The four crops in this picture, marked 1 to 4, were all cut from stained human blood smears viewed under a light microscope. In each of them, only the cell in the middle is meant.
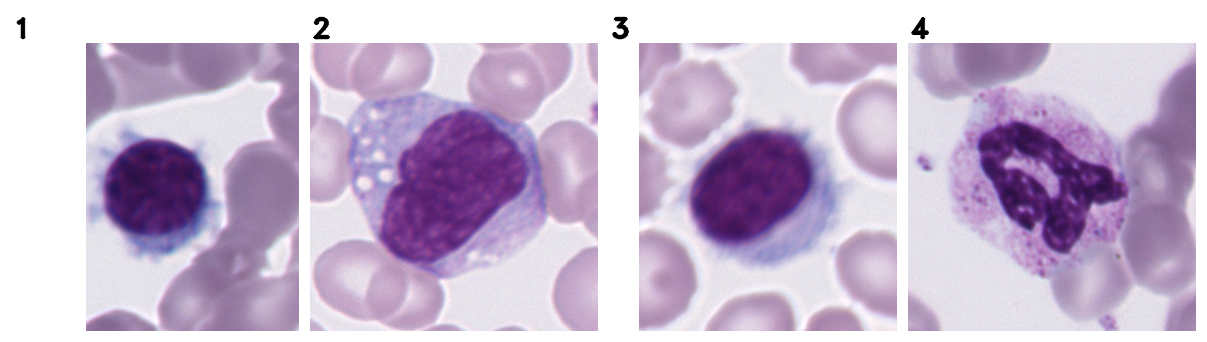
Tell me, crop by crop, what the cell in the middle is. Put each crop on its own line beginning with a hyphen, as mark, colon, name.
- 1: hairy cell
- 2: monocyte
- 3: hairy cell
- 4: segmented neutrophil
